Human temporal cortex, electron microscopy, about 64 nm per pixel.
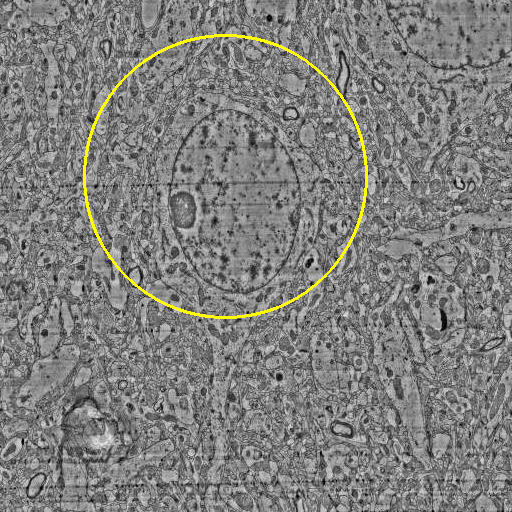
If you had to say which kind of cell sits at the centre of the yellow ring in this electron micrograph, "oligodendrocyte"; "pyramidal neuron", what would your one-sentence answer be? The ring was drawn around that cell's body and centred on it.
The cell sitting at the centre of the ring is a pyramidal neuron.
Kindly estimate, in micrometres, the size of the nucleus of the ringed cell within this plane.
Approximately 12 by 8 micrometers in this plane.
